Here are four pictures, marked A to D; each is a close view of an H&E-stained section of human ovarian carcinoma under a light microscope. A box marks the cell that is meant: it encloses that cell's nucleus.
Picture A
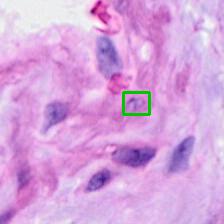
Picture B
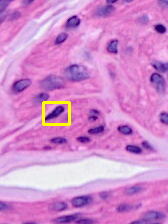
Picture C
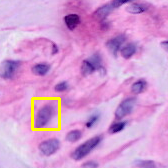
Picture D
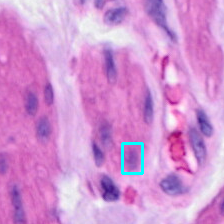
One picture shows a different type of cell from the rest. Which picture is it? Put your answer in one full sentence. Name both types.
All pictures except A show smooth muscle cells; picture A shows an endothelial cell.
